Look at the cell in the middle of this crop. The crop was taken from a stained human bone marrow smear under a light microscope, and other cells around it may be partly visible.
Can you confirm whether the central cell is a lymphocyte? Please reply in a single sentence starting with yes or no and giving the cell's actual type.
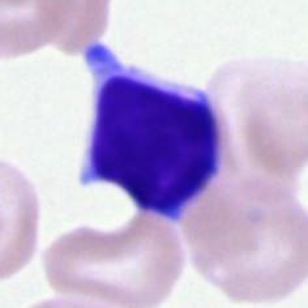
Yes, the cell in the centre is a lymphocyte.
